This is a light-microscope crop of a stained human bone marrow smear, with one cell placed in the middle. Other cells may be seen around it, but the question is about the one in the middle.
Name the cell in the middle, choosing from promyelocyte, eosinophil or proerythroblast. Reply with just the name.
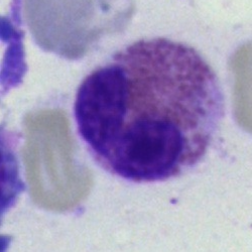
eosinophil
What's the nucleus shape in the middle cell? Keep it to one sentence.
Two or more lobes make up the nucleus of this cell.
